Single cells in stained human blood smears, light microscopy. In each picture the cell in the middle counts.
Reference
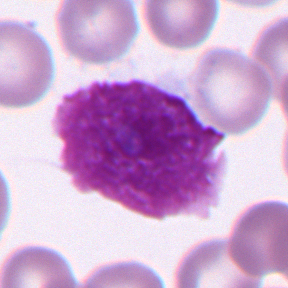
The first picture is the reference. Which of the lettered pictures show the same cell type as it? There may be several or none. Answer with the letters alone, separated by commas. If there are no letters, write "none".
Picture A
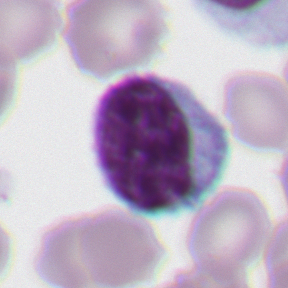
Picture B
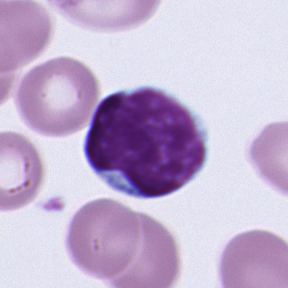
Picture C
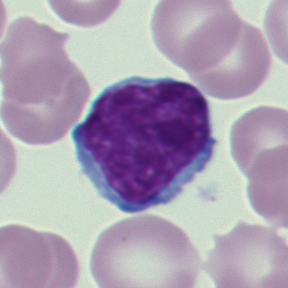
none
